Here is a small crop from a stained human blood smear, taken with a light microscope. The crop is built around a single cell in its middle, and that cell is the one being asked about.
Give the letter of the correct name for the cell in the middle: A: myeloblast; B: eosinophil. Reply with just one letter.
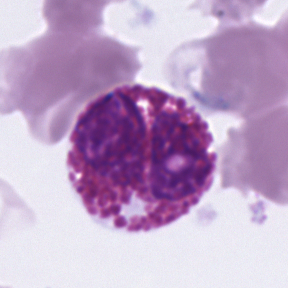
B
